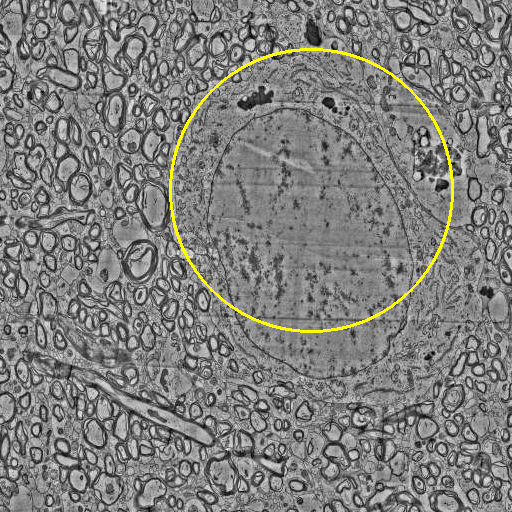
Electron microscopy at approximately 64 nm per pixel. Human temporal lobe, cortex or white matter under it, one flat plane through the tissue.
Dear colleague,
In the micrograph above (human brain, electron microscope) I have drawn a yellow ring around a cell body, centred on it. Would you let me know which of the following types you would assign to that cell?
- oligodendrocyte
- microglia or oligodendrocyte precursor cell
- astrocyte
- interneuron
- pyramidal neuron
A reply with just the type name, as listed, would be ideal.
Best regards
pyramidal neuron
